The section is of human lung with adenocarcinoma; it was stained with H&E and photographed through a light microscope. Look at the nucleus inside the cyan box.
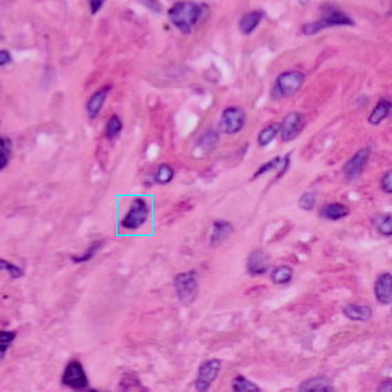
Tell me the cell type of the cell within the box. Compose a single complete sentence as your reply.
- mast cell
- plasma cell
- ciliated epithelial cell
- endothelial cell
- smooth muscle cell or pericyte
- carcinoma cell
By cell type, the cell within the box is a mast cell.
